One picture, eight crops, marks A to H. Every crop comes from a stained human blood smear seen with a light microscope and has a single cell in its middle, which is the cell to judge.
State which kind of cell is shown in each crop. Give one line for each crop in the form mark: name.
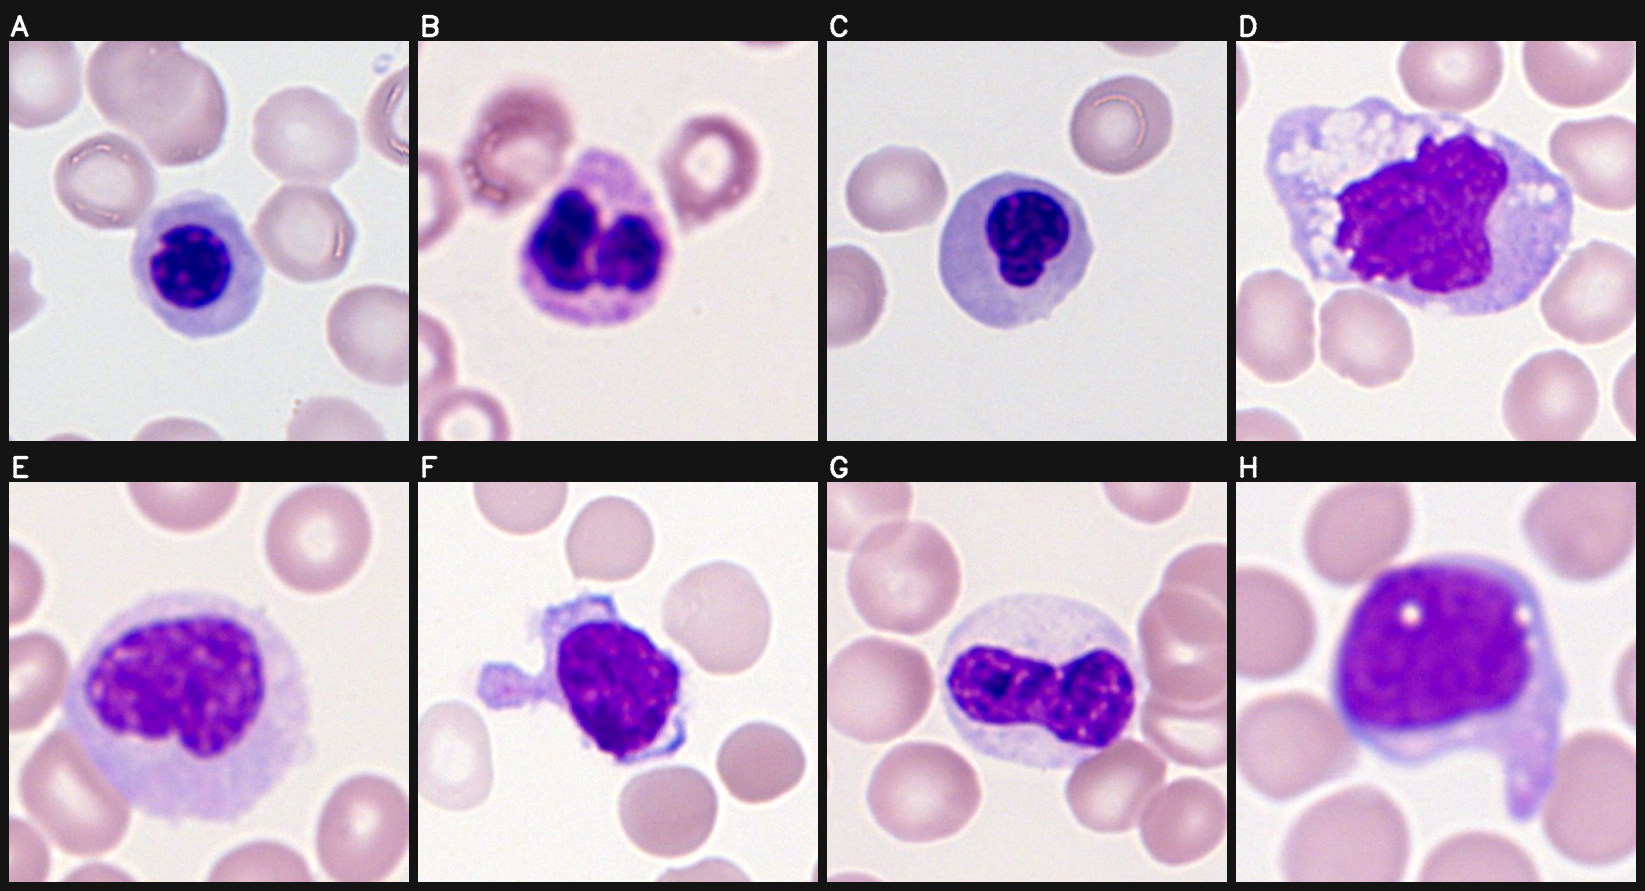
A: normoblast
B: segmented neutrophil
C: normoblast
D: monocyte
E: monocyte
F: lymphocyte
G: band neutrophil
H: monocyte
